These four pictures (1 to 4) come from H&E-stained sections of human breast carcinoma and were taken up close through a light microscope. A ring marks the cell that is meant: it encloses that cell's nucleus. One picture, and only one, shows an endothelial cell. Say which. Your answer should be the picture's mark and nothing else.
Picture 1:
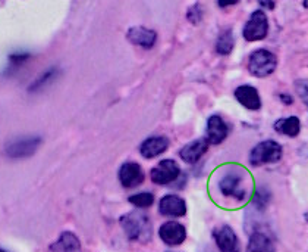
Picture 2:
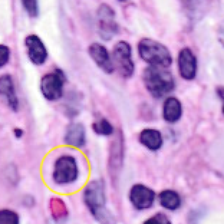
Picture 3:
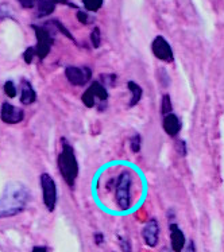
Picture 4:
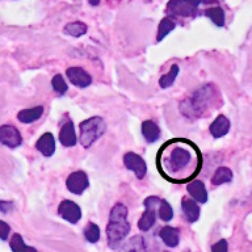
3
